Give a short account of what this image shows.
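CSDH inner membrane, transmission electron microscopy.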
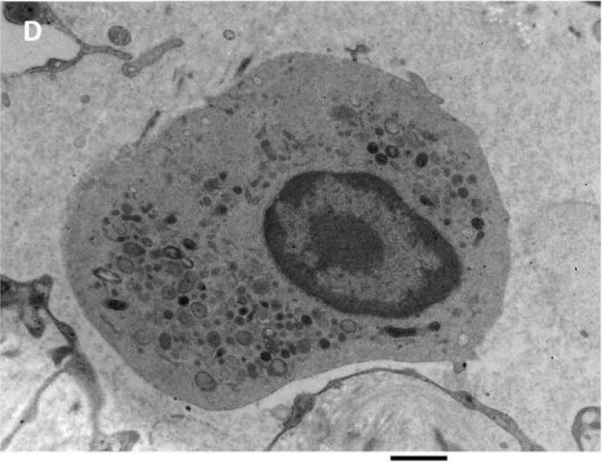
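A macrophage lies alone in a pale, finely granular extracellular matrix. The cell is large and rounded, with an oval nucleus bearing dense peripheral chromatin set toward one side, and its cytoplasm is crowded with numerous small dense granules and vesicles. Thin cell processes of other cells run along the edges of the field.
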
